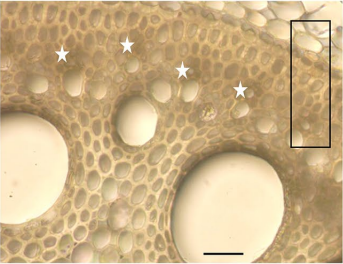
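Cross section through the stele of a root, showing endodermis, pericycle and protoxylem around large vessels. A greyish field is filled with many small polygonal cells with distinct, thick-looking walls and small lumens, arranged in tight rows toward the outer edge at the right. Scattered among them are larger rounded, open cells that keep their shape rather than collapsing. Two large, empty, round vessels sit in the lower half, ringed by small thick-walled cells.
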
